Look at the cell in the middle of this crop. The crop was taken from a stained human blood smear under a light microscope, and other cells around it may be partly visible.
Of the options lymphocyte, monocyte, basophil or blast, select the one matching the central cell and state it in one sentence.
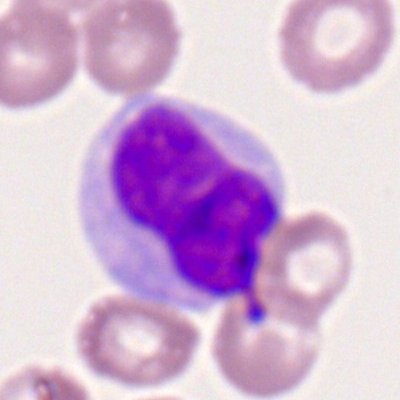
At the crop's centre, the cell is a monocyte.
